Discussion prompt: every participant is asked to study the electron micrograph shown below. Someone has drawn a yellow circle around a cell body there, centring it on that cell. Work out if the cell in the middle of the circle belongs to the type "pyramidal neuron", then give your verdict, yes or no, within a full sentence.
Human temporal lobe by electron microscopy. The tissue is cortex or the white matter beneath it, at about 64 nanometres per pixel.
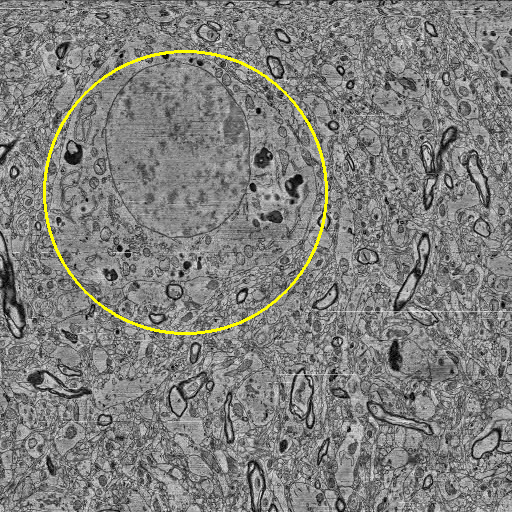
Yes, my verdict is that the cell in the circle's centre is of that type.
